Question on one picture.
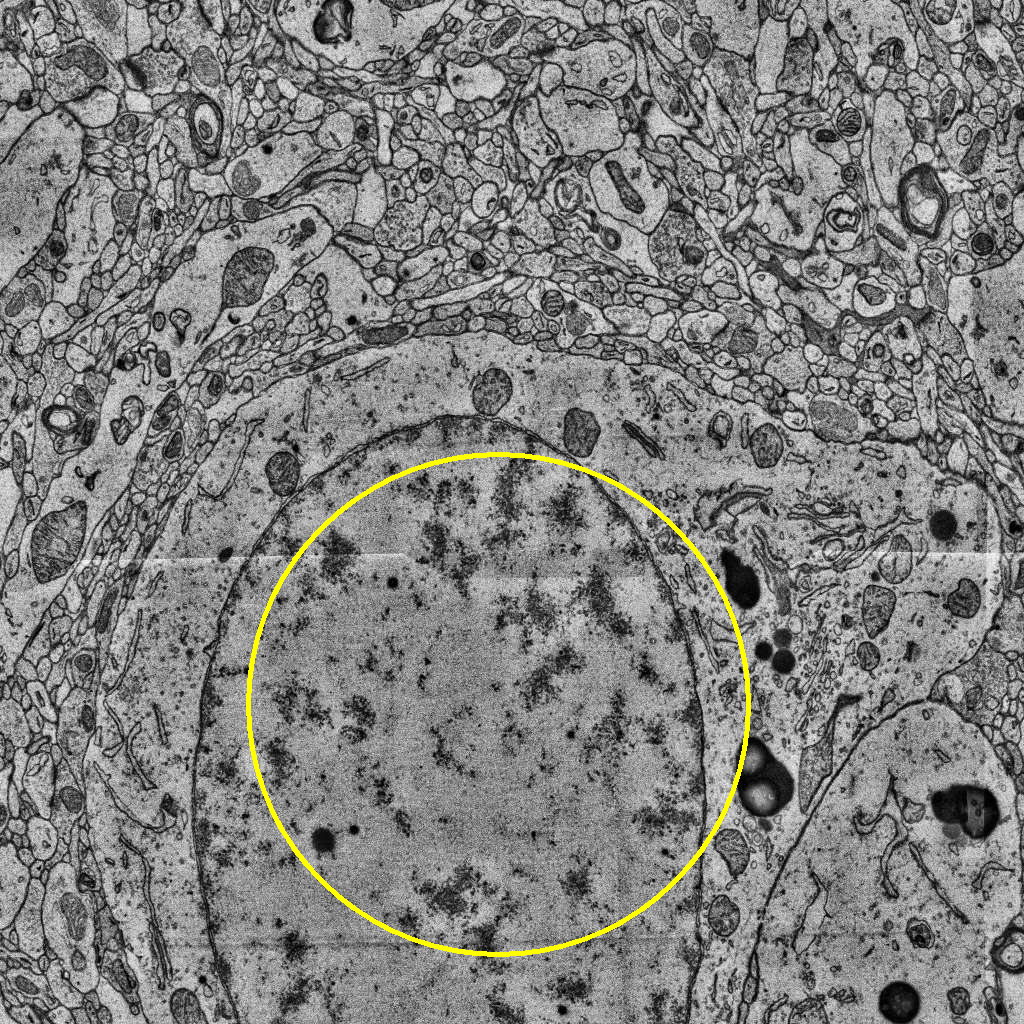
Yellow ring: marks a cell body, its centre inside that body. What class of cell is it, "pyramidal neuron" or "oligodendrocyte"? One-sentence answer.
This is a pyramidal neuron, the cell at the ring's centre.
